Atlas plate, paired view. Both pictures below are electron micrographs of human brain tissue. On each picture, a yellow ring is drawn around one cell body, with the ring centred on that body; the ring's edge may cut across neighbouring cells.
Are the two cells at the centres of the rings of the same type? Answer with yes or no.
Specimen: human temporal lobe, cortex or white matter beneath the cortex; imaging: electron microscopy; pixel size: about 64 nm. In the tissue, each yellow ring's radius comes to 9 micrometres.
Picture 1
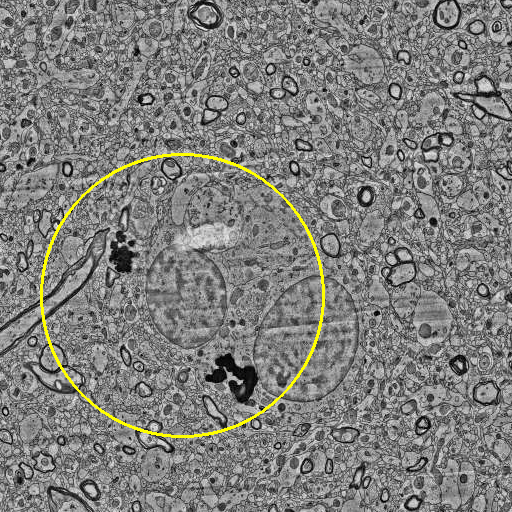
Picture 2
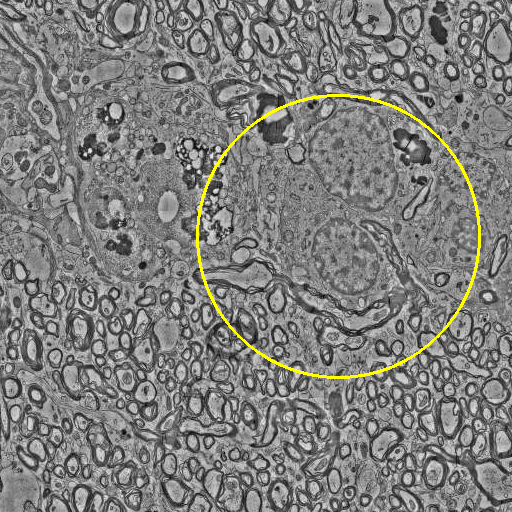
yes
